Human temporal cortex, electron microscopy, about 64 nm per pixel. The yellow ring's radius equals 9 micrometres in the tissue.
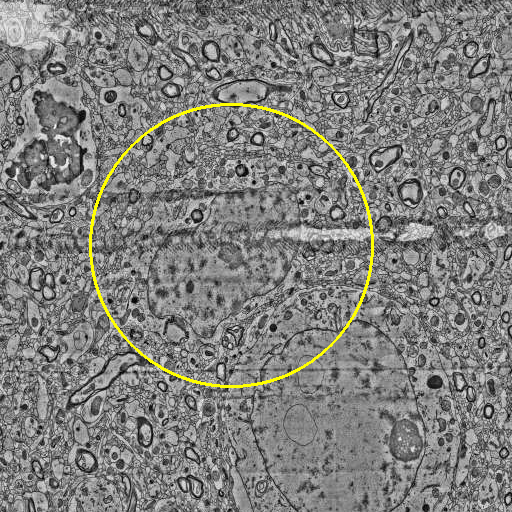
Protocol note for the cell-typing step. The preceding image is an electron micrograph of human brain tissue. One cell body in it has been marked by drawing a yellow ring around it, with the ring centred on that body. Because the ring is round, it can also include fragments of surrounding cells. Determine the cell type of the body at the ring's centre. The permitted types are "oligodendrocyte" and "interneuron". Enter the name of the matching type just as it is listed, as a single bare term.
interneuron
